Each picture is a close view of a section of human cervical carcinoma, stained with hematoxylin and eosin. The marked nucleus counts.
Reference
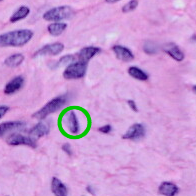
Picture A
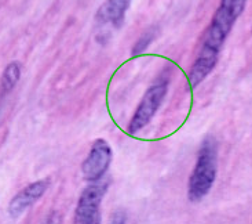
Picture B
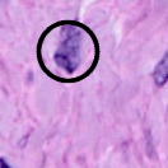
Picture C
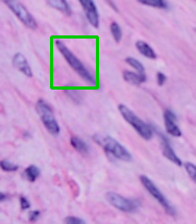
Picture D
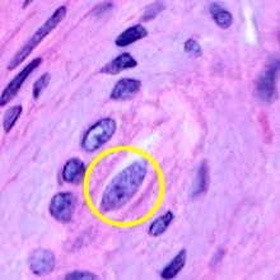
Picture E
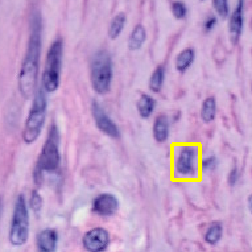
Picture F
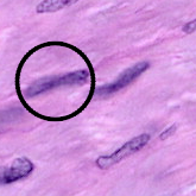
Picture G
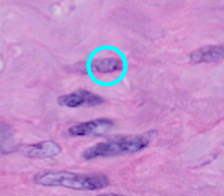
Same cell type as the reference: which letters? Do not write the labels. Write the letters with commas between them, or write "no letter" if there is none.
B, F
